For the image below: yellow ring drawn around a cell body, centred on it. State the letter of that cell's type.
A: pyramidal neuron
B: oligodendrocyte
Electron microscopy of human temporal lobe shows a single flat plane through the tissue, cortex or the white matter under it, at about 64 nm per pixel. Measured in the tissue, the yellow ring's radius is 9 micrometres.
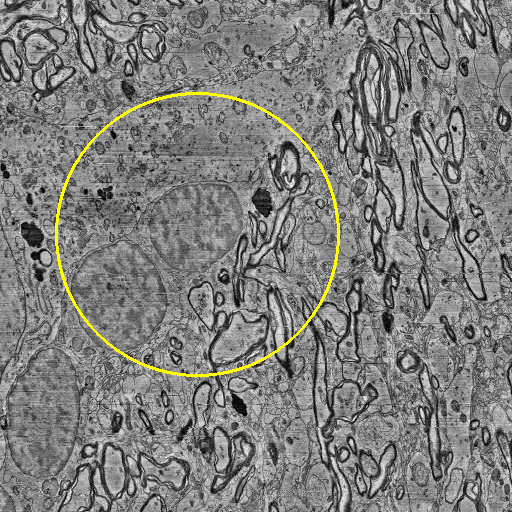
B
